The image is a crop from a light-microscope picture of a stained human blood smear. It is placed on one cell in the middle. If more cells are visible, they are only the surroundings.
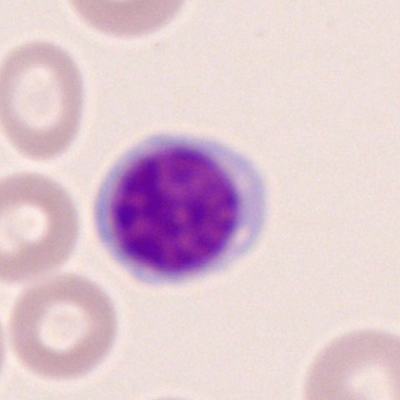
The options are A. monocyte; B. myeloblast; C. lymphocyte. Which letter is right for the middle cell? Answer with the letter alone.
C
